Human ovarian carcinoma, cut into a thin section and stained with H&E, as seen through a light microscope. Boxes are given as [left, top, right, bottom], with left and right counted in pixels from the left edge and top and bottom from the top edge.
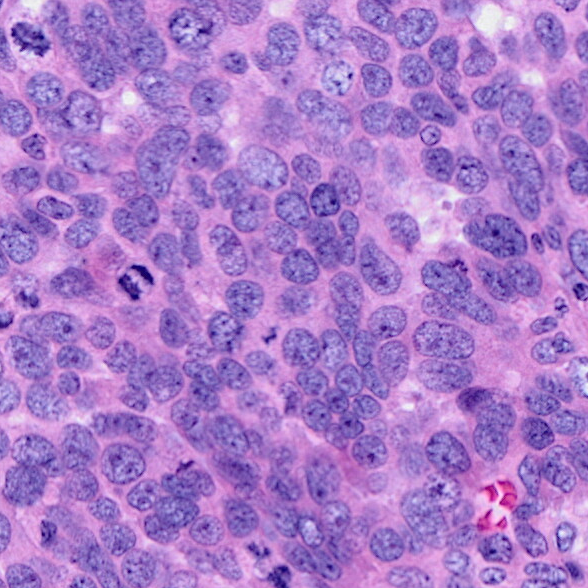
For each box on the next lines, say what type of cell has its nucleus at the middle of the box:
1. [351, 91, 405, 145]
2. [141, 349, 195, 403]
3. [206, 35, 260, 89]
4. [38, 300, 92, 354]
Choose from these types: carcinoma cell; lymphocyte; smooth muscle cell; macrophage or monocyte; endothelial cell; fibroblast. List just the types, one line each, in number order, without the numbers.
carcinoma cell
carcinoma cell
macrophage or monocyte
carcinoma cell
